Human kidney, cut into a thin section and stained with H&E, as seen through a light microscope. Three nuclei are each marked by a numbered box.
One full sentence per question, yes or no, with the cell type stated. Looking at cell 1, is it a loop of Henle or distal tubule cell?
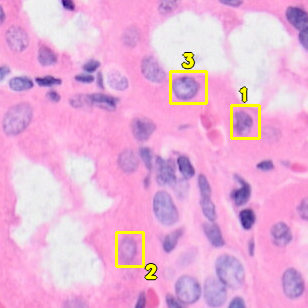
Yes, the cell numbered 1 in this tissue is a loop of Henle or distal tubule cell.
